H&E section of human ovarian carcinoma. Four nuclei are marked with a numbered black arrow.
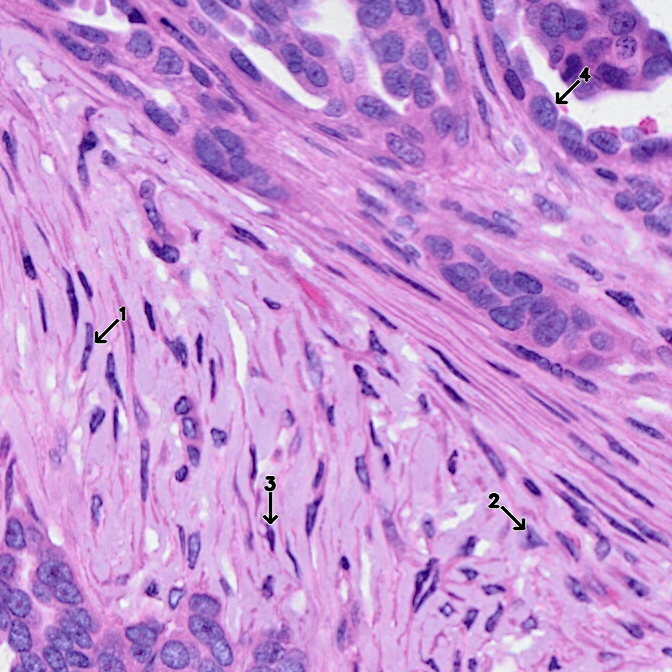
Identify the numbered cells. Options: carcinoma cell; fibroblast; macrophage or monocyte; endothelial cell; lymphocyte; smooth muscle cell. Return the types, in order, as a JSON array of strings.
["fibroblast", "fibroblast", "fibroblast", "carcinoma cell"]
